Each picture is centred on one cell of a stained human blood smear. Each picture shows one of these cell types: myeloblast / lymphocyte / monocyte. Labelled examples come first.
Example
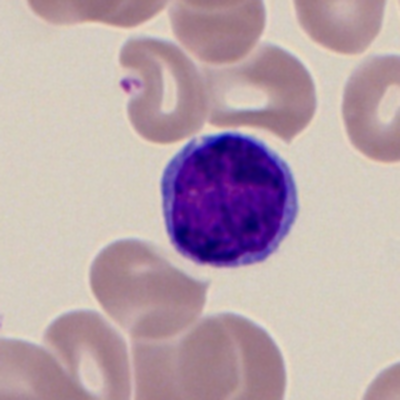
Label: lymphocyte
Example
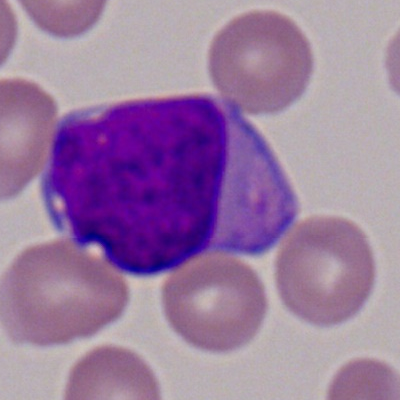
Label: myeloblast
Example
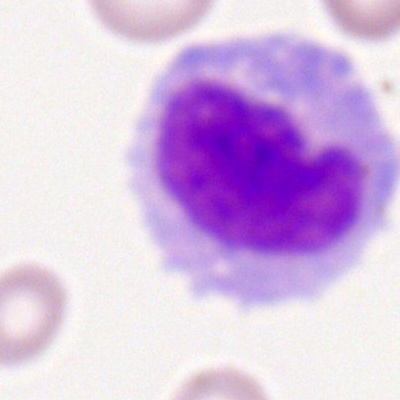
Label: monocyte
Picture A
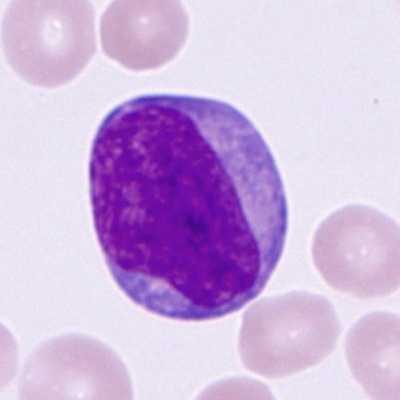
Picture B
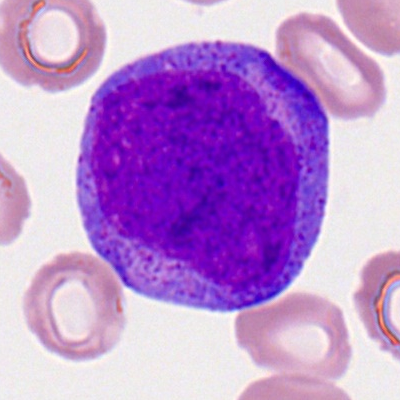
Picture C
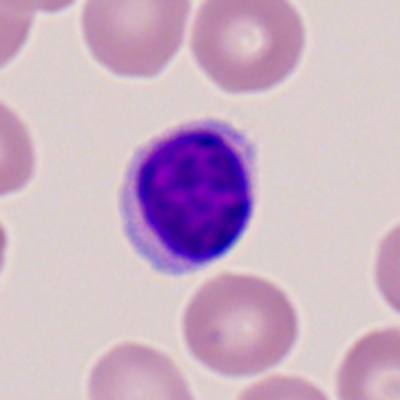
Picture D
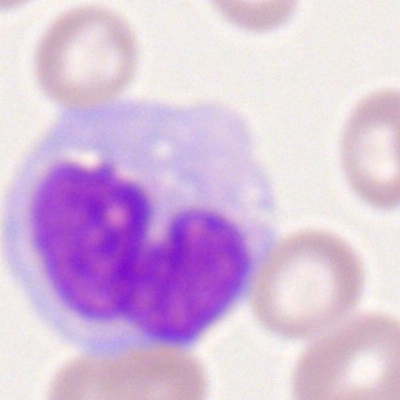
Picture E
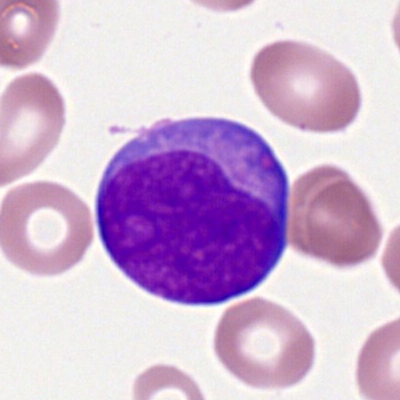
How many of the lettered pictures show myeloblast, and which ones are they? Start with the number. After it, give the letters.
3, namely A, B, E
